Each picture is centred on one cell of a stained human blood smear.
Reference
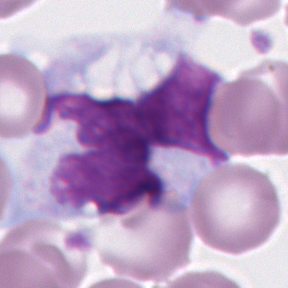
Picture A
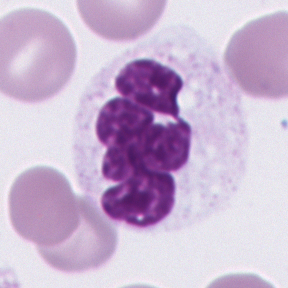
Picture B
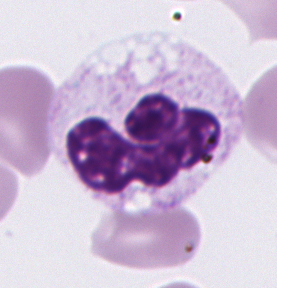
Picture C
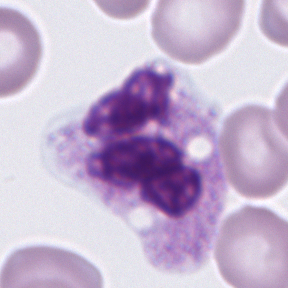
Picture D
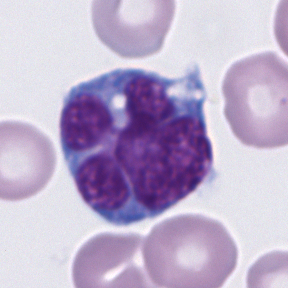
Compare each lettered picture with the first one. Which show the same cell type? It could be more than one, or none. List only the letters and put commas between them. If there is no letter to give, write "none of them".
D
